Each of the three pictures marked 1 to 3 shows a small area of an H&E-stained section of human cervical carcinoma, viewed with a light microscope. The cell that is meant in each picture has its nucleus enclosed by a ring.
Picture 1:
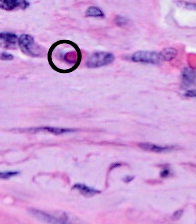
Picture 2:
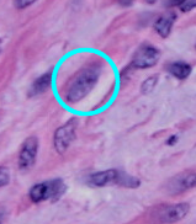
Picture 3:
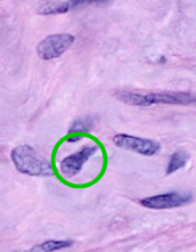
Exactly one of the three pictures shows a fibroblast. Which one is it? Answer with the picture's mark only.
3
